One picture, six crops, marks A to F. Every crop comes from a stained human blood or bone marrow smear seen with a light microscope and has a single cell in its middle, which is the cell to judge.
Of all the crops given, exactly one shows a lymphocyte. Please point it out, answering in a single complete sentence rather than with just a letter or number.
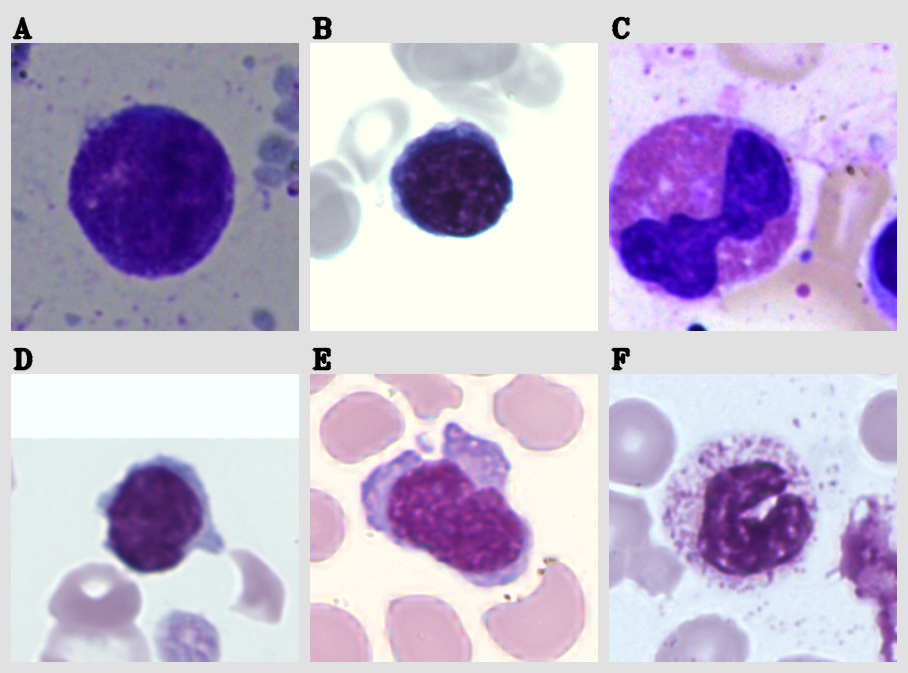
Of the crops given, a lymphocyte is found in crop D.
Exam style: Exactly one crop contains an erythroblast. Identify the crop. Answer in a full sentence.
Crop B is the single crop that shows an erythroblast.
